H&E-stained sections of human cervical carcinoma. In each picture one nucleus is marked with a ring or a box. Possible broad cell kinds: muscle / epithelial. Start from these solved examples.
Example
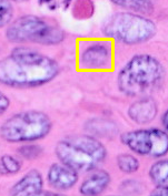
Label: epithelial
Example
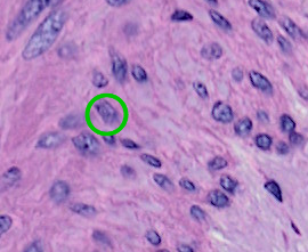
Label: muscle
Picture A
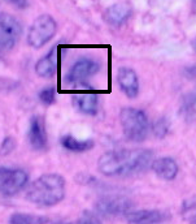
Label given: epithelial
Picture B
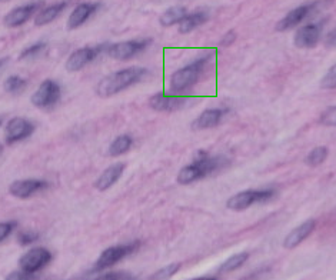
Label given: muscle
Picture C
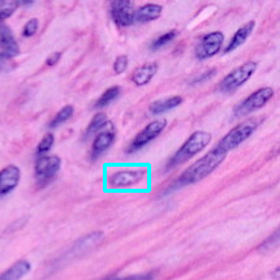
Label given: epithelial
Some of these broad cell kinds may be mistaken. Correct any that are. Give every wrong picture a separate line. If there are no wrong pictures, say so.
Wrong: C (epithelial); correct: muscle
